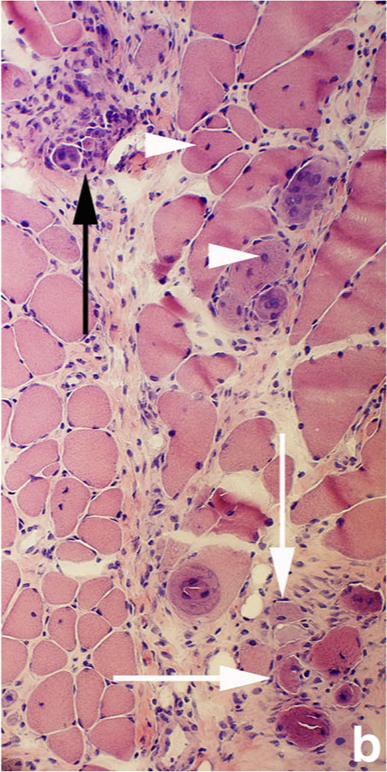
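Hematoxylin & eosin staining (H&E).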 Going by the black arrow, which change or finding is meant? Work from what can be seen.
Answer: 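The arrow points at a site without a clear fiber outline. Many purple nuclei of invading cells crowd the spot.
Hence: necrotic muscle fiber.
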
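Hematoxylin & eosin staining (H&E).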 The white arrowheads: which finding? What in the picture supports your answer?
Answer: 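The marked fibers hold dark nuclei inside the fiber rather than only at the edge.
Fibers with internal nuclei.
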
